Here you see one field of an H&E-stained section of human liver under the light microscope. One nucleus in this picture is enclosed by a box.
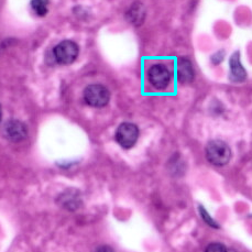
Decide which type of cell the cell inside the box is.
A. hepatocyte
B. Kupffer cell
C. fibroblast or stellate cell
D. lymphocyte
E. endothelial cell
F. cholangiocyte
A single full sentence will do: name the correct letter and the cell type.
Option A properly identifies the cell inside the box as a hepatocyte.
